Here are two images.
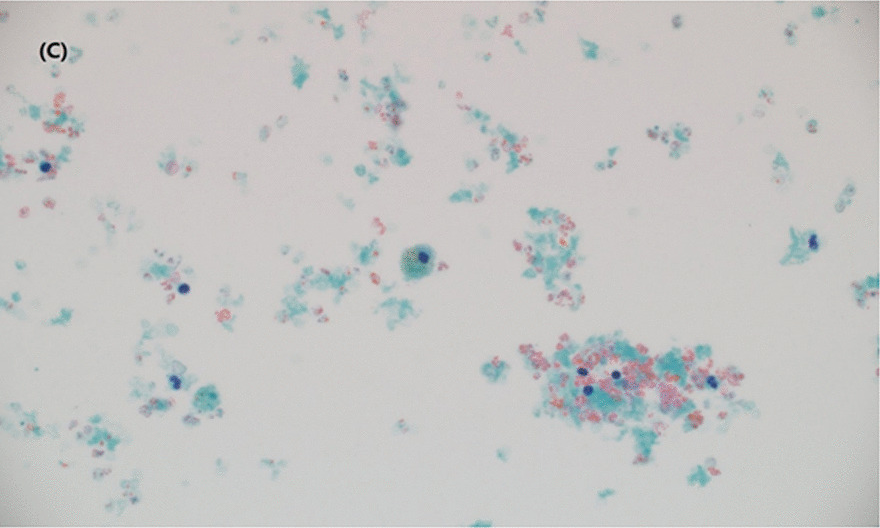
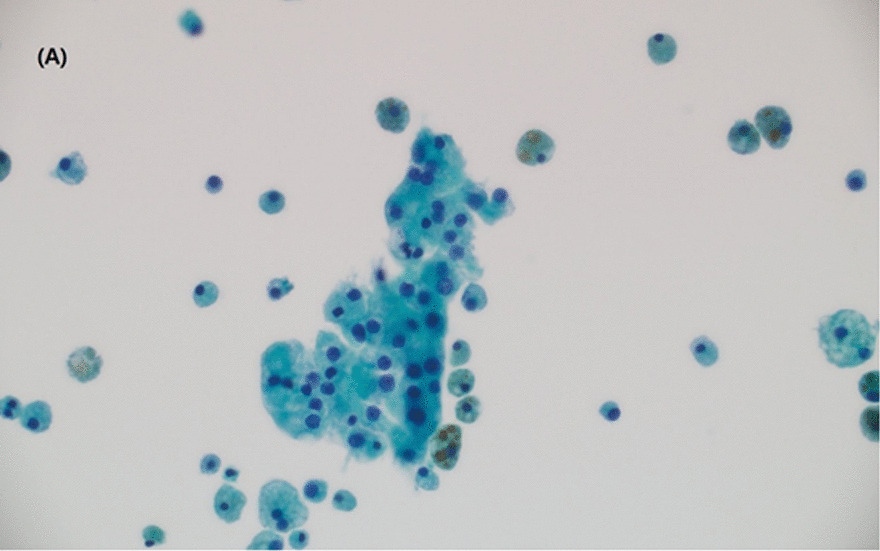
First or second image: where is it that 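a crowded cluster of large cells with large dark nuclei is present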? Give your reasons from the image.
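First image: only scattered small single cells among debris and red blood cells. Second image: a large, densely packed cluster of cells with dark nuclei and abundant cytoplasm. On this evidence: the second image.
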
